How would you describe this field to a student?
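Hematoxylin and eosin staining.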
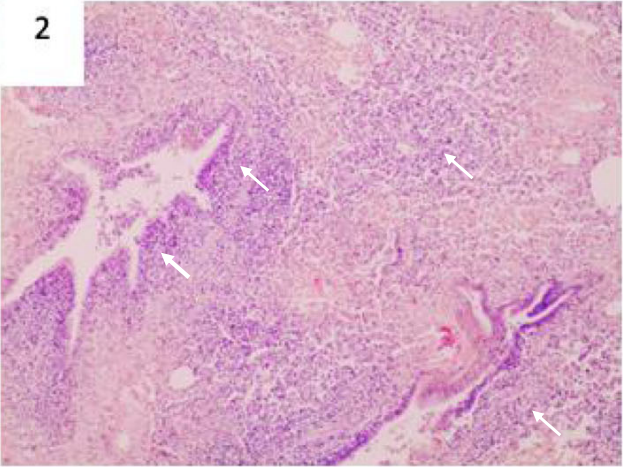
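This is lung tissue around small airways, with an intense lymphocytic infiltrate around the bronchioles. A branching, star-shaped airway lumen at left is lined by a thin band of purple epithelium. A second small airway lies lower right. Surrounding both are dense sheets of small cells with round, dark purple nuclei and little cytoplasm. These sheets spread widely through the tissue and leave little normal air-space pattern. The infiltrate is densest next to the airway walls. A vessel containing red blood cells is seen among pink connective tissue near the lower airway.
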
